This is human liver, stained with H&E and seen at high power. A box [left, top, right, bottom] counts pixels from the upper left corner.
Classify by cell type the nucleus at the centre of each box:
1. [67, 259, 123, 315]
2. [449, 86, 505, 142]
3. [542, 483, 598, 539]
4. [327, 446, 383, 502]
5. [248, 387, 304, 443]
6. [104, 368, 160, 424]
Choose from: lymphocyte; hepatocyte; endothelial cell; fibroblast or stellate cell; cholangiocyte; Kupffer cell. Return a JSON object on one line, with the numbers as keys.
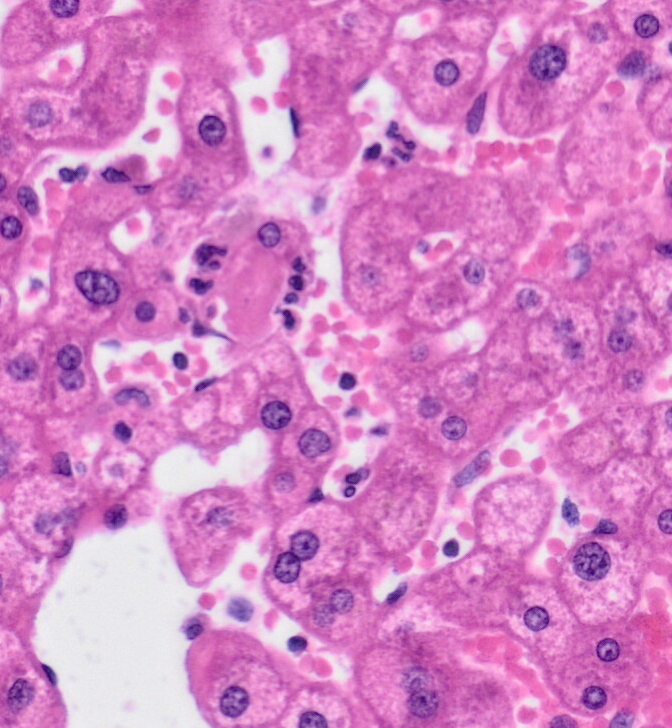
{"1": "hepatocyte", "2": "Kupffer cell", "3": "lymphocyte", "4": "Kupffer cell", "5": "hepatocyte", "6": "Kupffer cell"}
